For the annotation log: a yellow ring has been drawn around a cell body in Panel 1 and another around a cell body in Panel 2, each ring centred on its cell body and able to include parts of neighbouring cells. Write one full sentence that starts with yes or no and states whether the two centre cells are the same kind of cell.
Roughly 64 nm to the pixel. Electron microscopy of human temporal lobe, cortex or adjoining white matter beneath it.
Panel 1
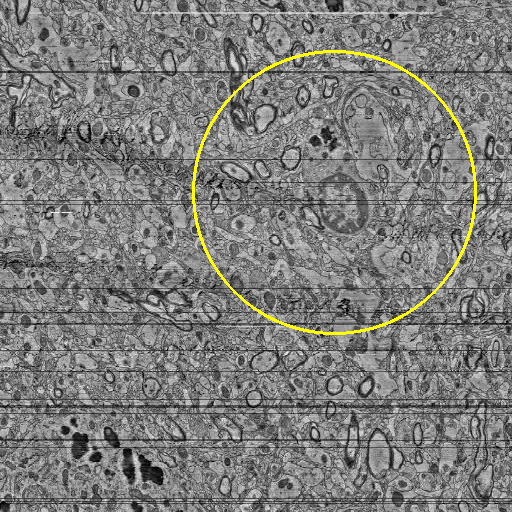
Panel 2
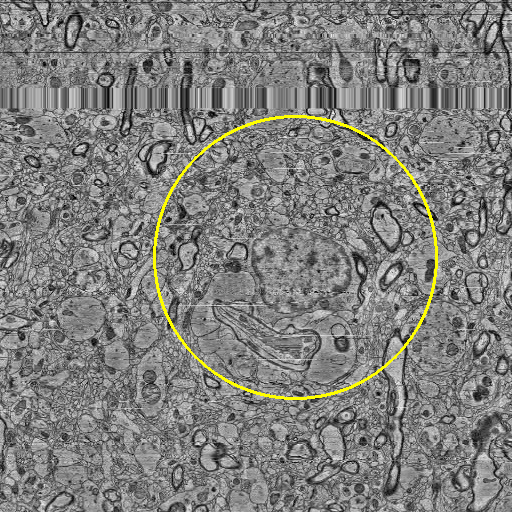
Yes, the two centre cells are the same kind of cell.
